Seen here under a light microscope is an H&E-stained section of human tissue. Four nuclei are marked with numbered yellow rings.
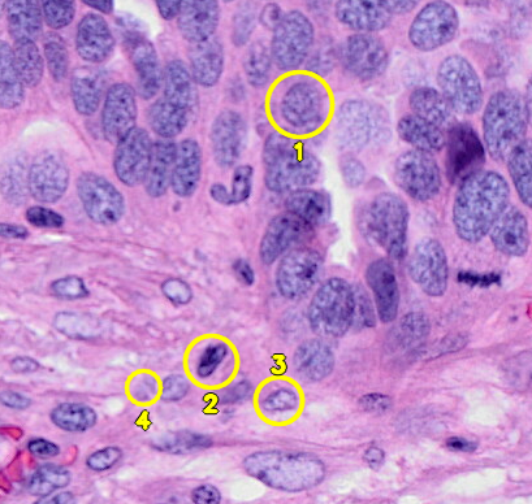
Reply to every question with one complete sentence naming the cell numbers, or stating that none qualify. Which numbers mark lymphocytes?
The only cell among those numbered to be a lymphocyte is number 2.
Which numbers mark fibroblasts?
The cells which carry the numbers 3 and 4 are fibroblasts.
